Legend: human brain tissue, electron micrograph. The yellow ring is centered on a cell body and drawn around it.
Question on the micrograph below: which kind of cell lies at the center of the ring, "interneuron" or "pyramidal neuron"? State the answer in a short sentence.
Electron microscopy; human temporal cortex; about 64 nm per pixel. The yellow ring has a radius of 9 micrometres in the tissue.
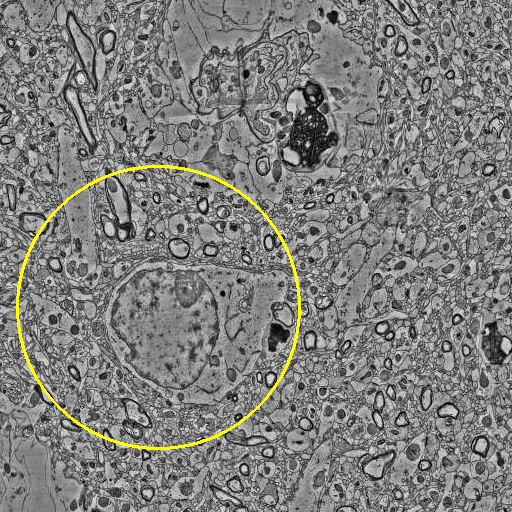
At the center of the ring lies an interneuron.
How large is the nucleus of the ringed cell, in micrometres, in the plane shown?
In this plane, the nucleus of the cell at the centre of the ring measures about 8 by 7 micrometres.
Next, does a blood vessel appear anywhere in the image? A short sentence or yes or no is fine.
Yes, a blood vessel shows in the picture.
